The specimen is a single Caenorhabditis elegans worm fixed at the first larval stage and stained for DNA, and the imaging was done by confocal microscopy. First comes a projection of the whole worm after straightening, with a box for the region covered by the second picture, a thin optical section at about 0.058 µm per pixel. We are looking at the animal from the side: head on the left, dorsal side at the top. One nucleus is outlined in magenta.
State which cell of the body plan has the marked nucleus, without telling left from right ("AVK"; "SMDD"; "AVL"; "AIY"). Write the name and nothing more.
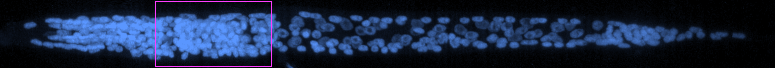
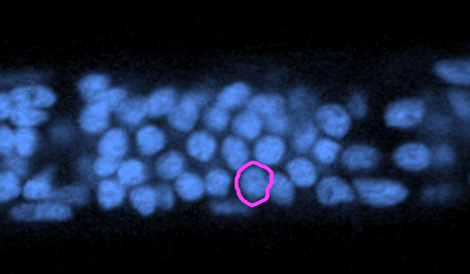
AIY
